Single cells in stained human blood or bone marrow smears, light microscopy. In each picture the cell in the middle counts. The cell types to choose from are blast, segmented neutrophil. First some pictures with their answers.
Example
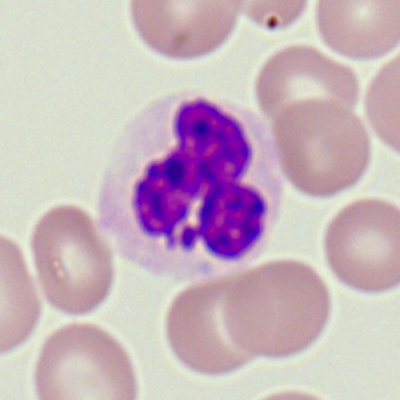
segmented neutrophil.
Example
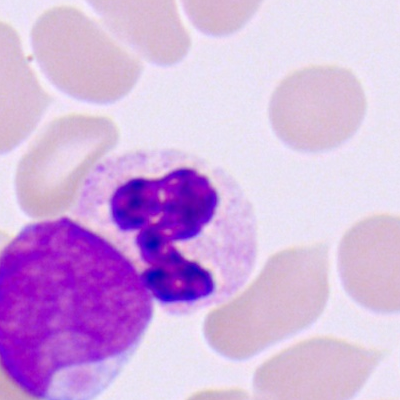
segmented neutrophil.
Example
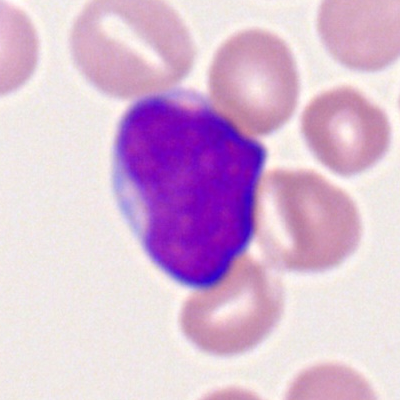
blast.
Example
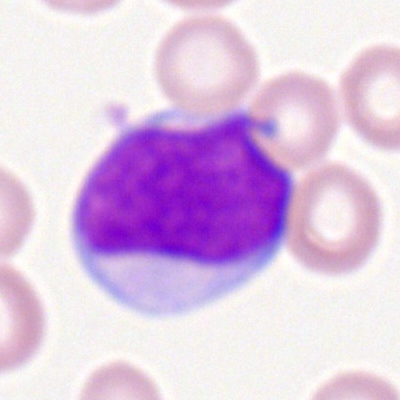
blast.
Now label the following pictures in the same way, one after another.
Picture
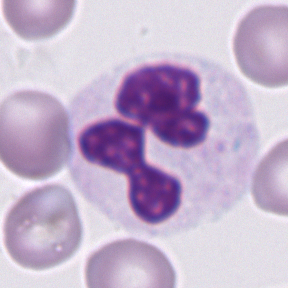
segmented neutrophil.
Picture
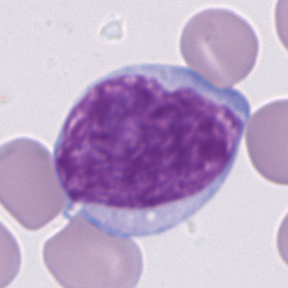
blast.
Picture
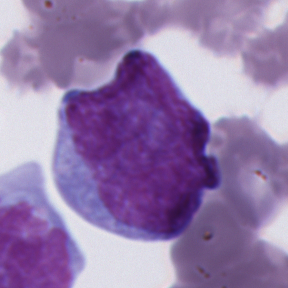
blast.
